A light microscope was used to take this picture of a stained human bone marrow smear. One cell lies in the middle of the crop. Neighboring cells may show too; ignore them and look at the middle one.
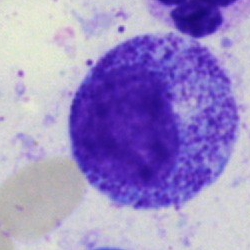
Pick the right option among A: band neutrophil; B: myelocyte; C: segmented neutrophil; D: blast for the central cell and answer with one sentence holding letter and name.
The cell positioned centrally is a myelocyte, as given in option B, which is correct.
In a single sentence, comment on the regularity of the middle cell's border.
The cell shows a smooth outline that lacks any surface projections.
